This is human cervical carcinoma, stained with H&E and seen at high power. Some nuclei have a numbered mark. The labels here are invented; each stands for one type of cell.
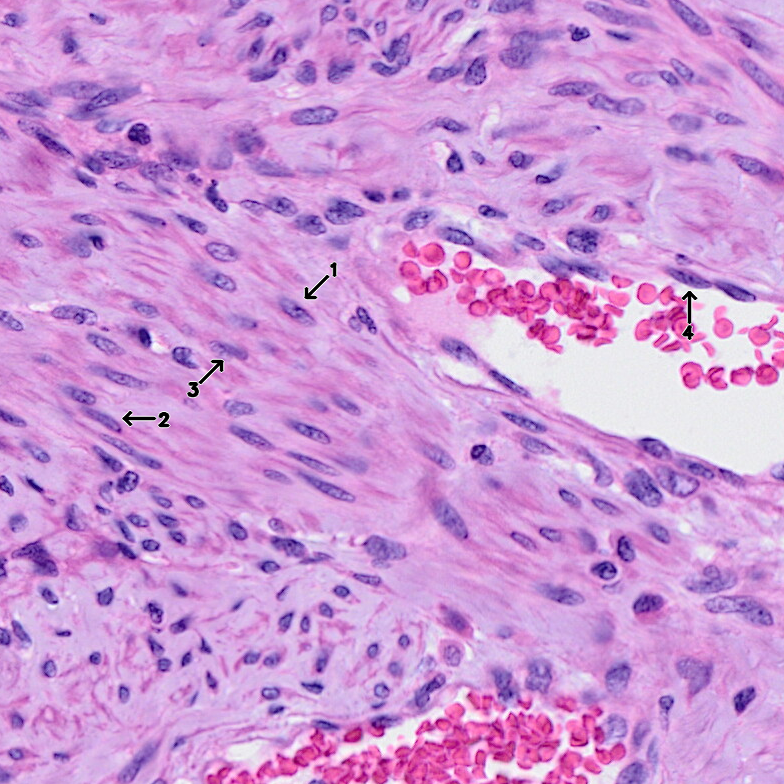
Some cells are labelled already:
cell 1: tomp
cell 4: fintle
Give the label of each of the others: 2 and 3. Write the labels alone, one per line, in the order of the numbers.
tomp
tomp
